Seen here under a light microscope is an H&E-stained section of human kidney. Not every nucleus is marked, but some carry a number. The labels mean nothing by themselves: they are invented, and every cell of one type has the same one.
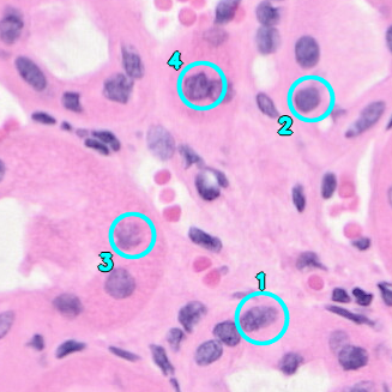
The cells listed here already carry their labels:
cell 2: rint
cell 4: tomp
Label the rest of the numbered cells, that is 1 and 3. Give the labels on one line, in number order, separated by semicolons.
rint; tomp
